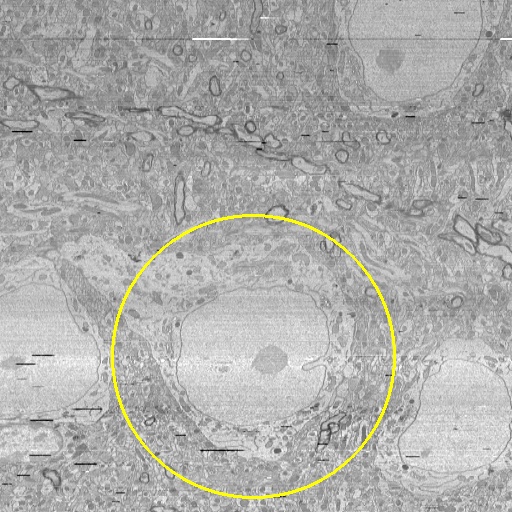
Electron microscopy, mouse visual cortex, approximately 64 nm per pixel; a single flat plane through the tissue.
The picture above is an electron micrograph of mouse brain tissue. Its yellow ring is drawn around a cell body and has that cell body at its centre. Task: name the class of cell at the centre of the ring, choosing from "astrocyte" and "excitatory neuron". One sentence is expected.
The ring surrounds the body of an excitatory neuron.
